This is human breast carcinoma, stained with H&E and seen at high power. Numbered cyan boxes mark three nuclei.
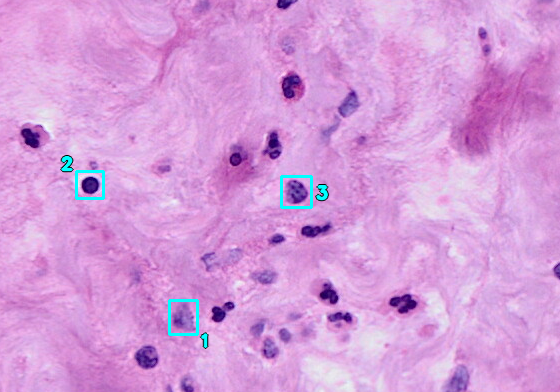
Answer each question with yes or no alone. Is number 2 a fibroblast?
no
